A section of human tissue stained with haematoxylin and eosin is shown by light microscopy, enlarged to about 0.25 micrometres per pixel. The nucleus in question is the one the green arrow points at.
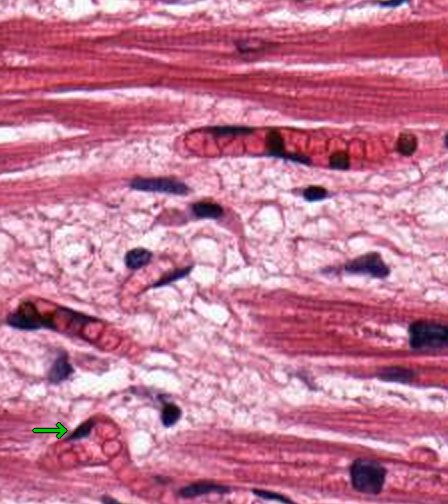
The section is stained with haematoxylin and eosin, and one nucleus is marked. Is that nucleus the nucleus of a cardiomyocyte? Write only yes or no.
no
